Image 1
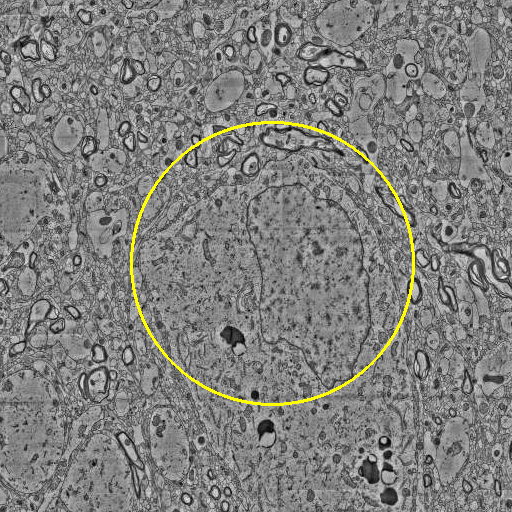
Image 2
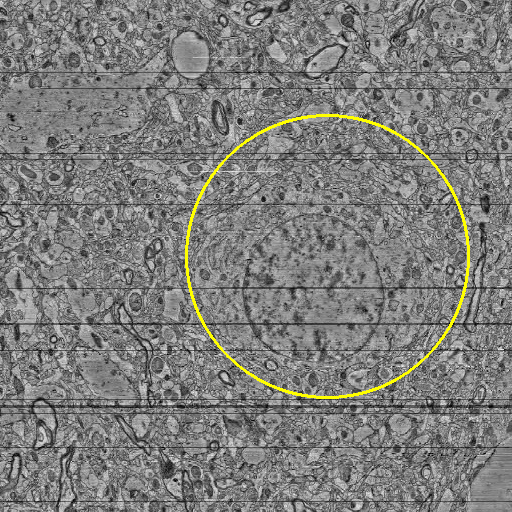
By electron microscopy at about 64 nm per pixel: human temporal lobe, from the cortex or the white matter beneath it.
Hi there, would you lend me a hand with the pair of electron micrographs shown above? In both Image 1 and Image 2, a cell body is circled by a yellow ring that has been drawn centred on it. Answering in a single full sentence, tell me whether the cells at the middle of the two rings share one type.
No, the ringed cells in Image 1 and Image 2 belong to two types.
